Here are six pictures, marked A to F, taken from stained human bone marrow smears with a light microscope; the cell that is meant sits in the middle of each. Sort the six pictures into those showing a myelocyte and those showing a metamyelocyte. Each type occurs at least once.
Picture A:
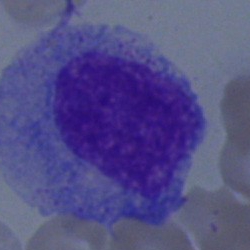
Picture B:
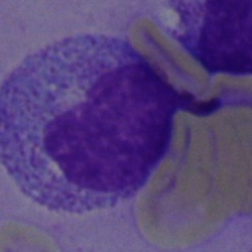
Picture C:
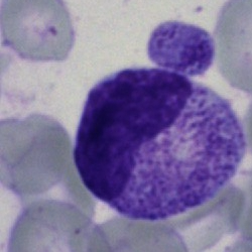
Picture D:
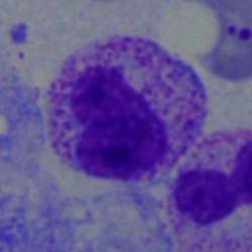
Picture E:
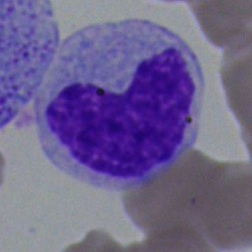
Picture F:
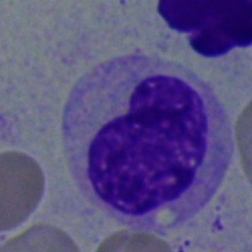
A: myelocyte
B: myelocyte
C: metamyelocyte
D: metamyelocyte
E: metamyelocyte
F: metamyelocyte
